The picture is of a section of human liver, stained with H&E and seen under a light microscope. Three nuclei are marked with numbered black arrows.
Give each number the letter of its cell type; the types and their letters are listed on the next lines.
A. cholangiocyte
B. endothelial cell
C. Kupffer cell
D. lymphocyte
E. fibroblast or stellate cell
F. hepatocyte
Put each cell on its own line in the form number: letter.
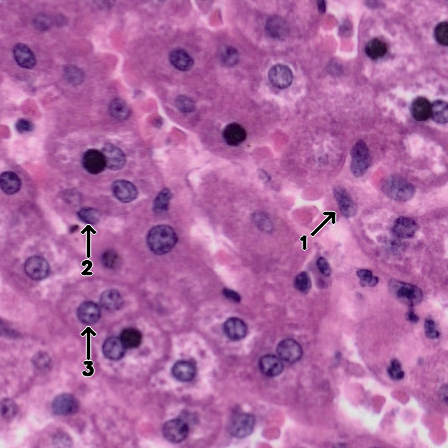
1: E
2: E
3: F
